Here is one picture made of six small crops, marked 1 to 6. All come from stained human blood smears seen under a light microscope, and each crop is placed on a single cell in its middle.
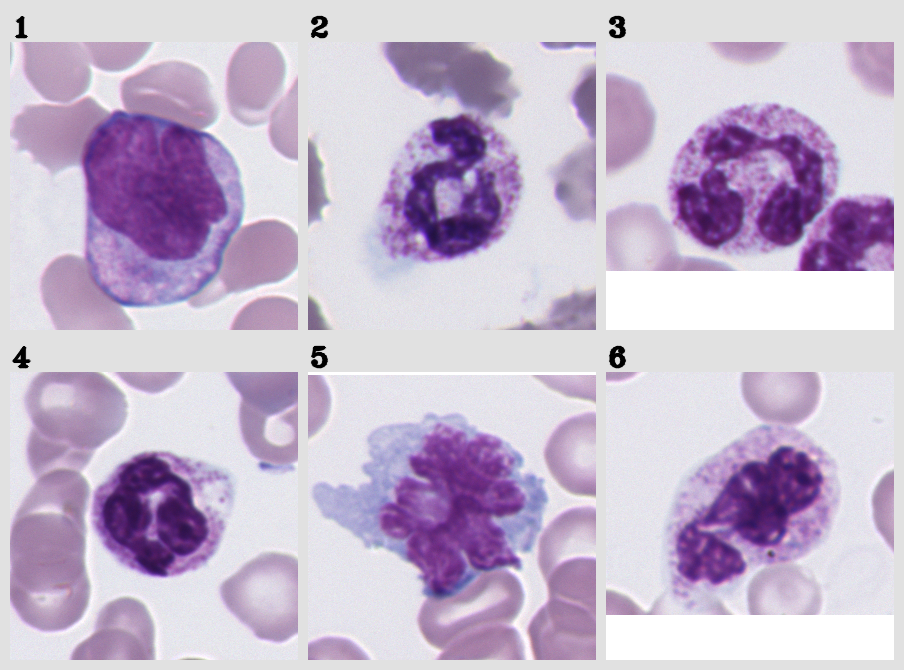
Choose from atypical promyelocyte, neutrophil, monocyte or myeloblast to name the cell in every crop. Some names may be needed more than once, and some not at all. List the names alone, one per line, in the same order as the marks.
atypical promyelocyte
neutrophil
neutrophil
neutrophil
monocyte
neutrophil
